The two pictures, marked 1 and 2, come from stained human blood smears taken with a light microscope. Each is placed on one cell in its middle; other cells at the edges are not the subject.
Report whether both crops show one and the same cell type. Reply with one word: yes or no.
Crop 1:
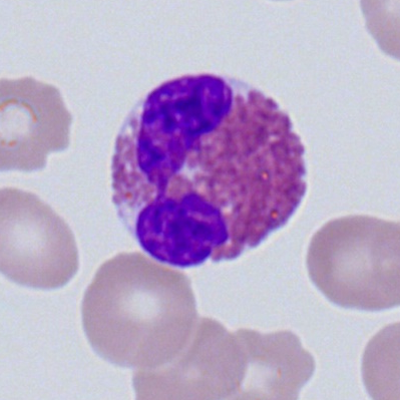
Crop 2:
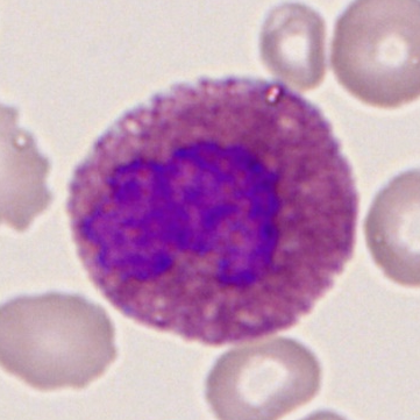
yes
